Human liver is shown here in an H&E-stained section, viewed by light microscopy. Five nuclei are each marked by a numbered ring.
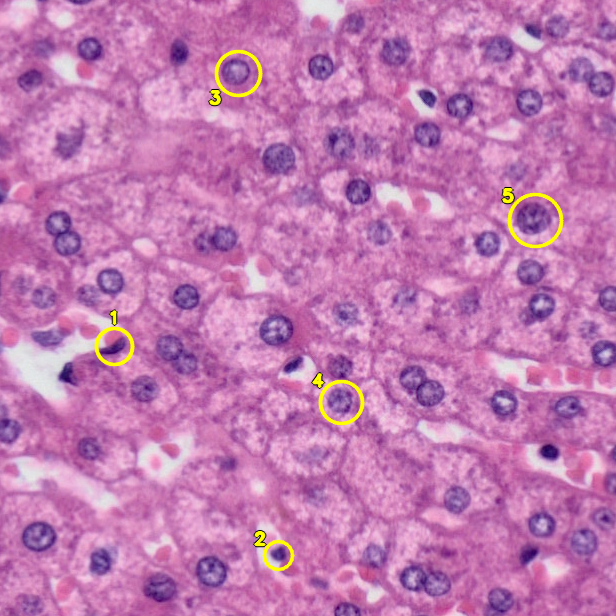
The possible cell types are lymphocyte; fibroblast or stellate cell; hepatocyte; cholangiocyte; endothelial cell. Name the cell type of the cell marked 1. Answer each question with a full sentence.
The numeral 1 marks an endothelial cell in this section.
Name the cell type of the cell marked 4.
The cell whose nucleus carries the number 4 is a hepatocyte.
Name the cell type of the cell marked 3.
Among the marked nuclei, number 3 belongs to a hepatocyte.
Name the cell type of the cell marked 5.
The marked nucleus 5 is that of a hepatocyte.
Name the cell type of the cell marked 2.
The cell pointed out by number 2 is a lymphocyte.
